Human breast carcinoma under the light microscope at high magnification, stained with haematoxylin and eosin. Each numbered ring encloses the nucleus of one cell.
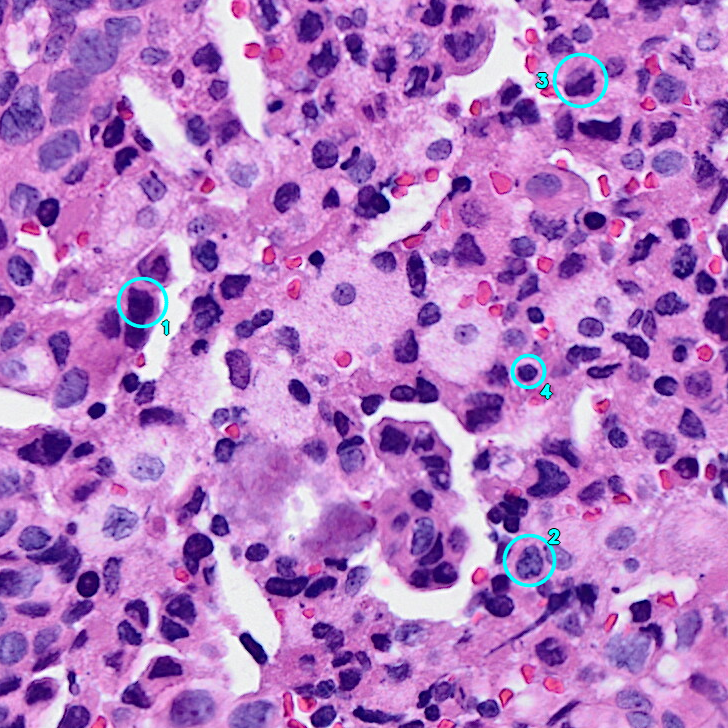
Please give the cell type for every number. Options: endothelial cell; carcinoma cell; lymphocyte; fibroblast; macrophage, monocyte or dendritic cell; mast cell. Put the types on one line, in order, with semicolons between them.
carcinoma cell; carcinoma cell; carcinoma cell; lymphocyte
